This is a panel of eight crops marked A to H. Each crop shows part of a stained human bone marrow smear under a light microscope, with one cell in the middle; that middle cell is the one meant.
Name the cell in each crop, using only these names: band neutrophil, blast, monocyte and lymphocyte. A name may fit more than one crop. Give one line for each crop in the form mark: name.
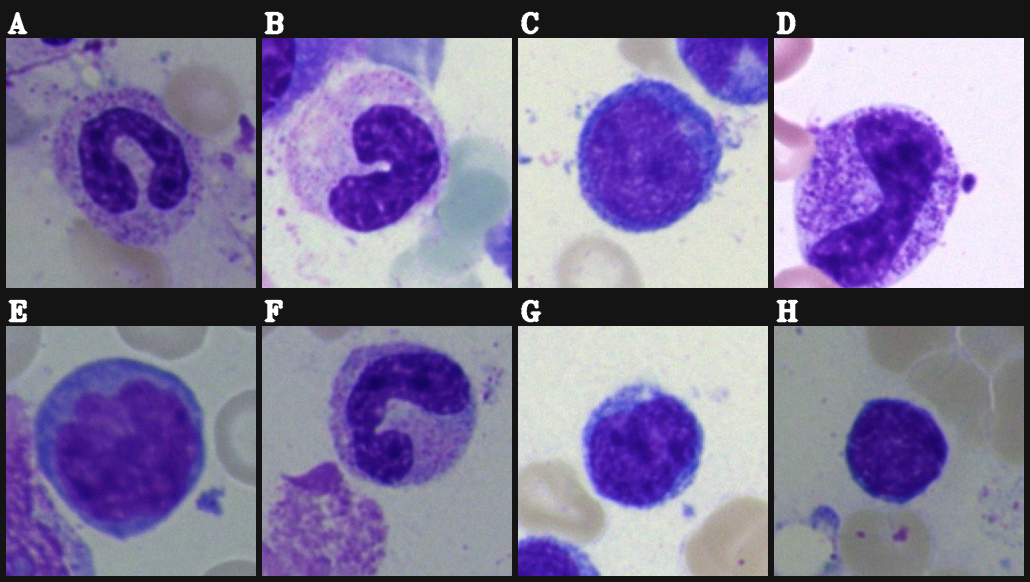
A: band neutrophil
B: band neutrophil
C: blast
D: band neutrophil
E: blast
F: band neutrophil
G: blast
H: lymphocyte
